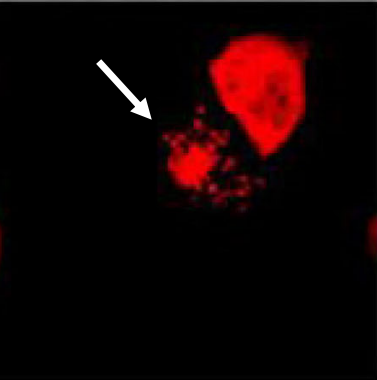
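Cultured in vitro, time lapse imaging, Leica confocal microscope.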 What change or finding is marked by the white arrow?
Apoptosis.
